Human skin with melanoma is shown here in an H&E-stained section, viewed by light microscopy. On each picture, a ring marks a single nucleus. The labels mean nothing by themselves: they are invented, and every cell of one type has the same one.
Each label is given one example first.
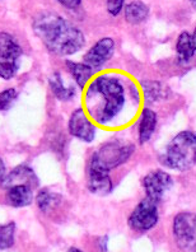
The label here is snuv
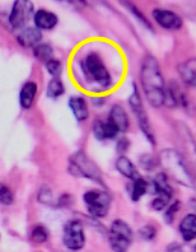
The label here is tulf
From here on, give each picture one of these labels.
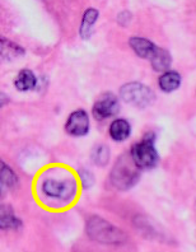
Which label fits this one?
tulf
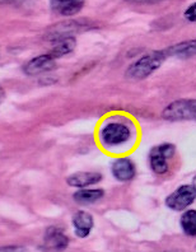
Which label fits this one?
tulf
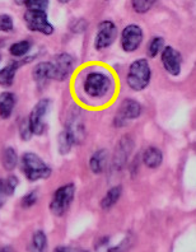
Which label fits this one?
tulf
